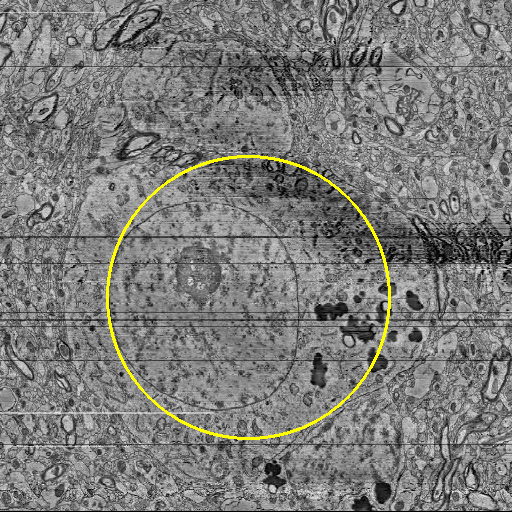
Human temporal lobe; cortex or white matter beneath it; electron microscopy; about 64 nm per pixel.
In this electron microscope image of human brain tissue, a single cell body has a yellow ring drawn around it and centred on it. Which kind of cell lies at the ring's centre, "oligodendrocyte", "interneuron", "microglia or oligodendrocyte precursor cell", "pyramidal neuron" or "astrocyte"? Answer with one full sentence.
It is a pyramidal neuron whose cell body lies at the centre of the yellow ring here.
